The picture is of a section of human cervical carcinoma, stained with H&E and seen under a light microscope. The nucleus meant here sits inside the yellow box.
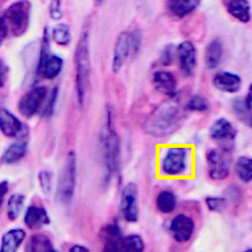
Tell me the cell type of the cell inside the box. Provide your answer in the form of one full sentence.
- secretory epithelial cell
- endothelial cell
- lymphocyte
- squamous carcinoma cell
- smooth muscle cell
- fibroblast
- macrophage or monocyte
At the level of cell identity, the cell inside the box is a lymphocyte.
